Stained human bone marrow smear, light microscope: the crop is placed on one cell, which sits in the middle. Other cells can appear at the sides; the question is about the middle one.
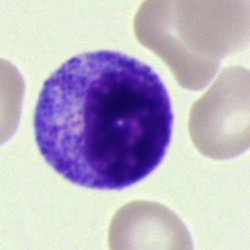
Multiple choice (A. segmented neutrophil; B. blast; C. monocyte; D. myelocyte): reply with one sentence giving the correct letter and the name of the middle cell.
Occupying the middle of the crop is a myelocyte, hence option D is correct.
